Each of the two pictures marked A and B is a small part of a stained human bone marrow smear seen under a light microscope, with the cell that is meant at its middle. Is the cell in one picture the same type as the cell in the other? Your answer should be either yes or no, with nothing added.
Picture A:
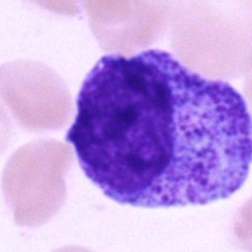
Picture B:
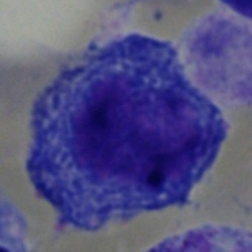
yes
